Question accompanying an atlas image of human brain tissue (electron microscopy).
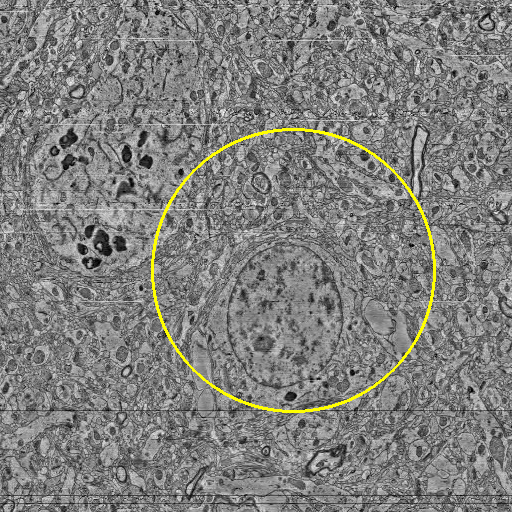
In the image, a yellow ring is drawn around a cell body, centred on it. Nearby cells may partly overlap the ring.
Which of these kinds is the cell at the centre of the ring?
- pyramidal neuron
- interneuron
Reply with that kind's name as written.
pyramidal neuron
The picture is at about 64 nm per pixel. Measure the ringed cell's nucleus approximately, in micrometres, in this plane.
In this plane, the nucleus is roughly 10 by 7 micrometres.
